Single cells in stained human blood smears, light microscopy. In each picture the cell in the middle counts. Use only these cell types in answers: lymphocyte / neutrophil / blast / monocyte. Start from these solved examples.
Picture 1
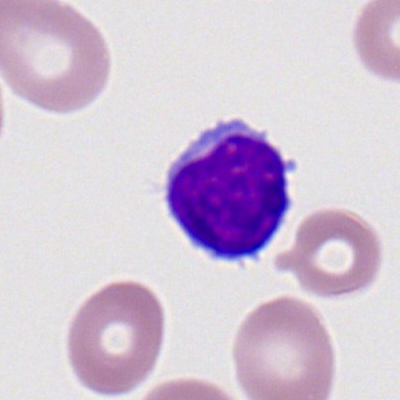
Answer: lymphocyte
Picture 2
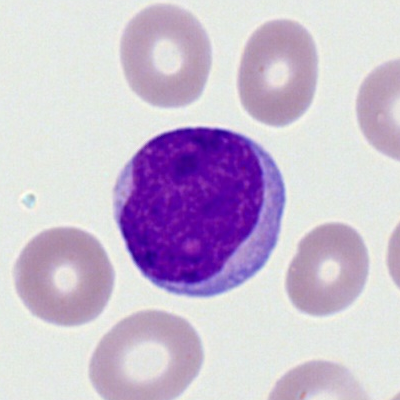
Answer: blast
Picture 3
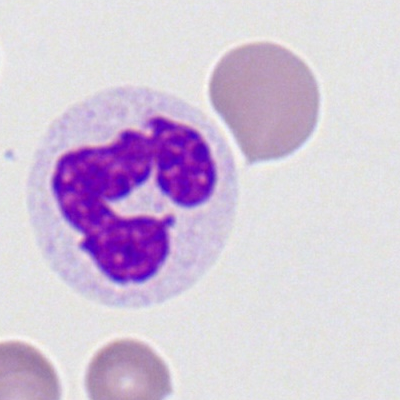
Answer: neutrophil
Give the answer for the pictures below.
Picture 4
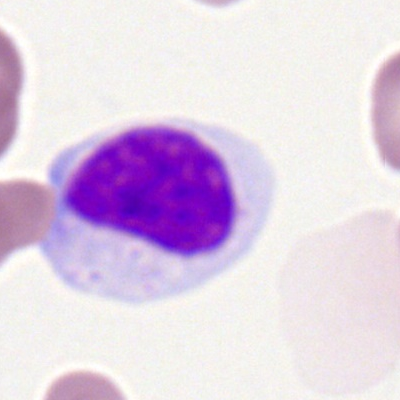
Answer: lymphocyte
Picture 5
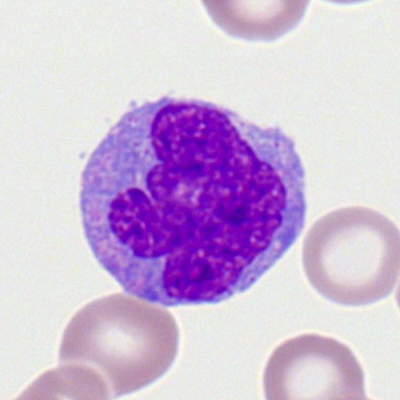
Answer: monocyte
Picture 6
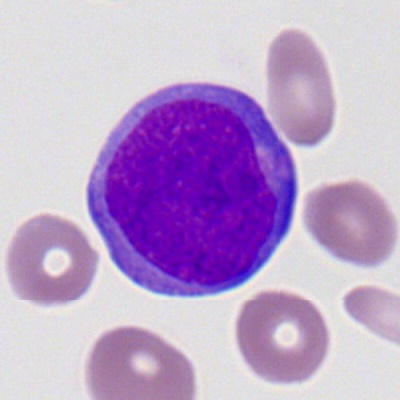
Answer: blast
